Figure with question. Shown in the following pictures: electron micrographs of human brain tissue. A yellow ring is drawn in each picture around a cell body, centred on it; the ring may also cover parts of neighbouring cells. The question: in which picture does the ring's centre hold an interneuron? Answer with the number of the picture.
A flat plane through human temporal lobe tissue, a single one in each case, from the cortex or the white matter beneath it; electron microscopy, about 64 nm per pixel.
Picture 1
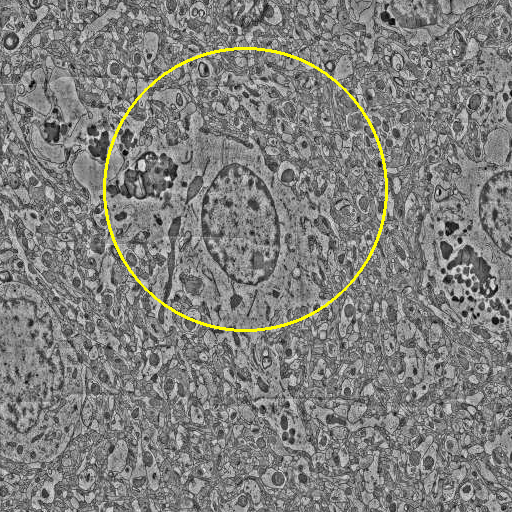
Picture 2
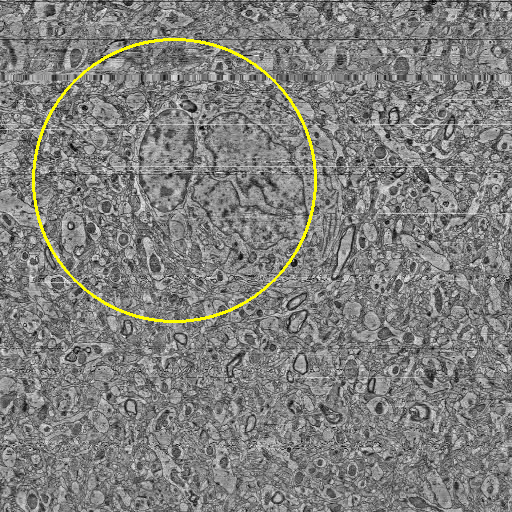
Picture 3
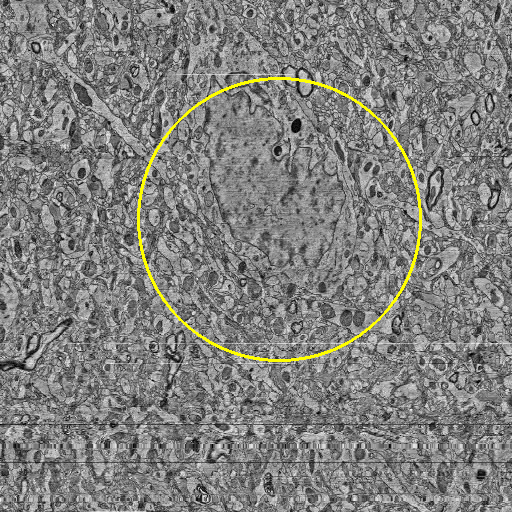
3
